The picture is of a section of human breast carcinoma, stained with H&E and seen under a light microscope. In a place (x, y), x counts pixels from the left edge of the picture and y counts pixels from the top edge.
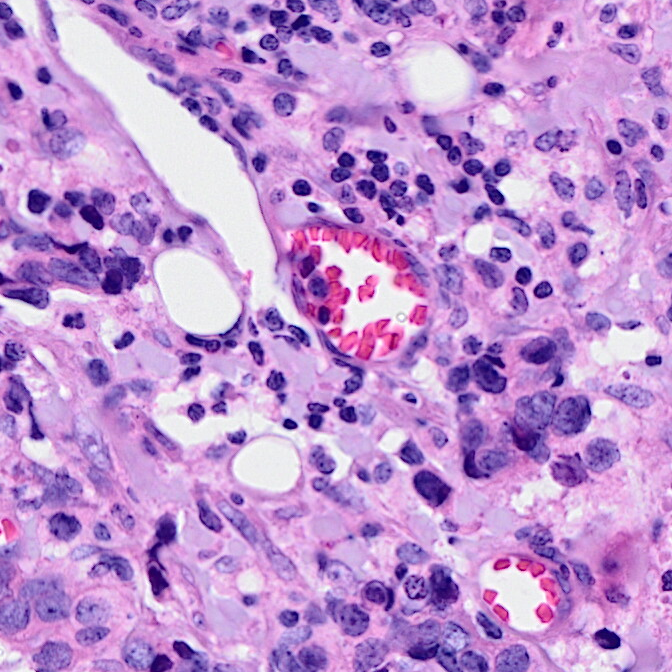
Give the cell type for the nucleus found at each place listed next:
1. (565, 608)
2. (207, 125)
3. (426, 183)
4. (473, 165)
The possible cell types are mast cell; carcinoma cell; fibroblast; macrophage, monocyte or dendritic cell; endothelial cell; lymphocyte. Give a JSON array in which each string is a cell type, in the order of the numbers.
["endothelial cell", "lymphocyte", "lymphocyte", "lymphocyte"]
